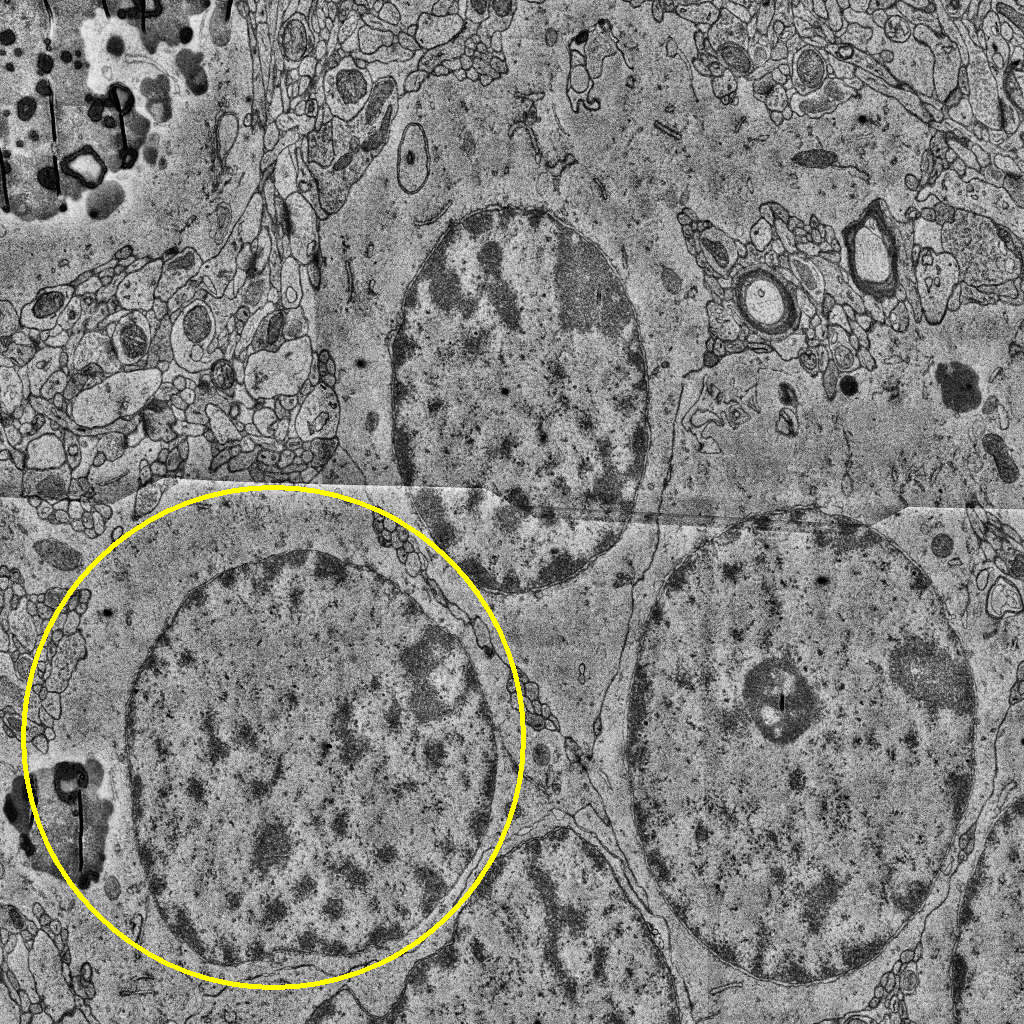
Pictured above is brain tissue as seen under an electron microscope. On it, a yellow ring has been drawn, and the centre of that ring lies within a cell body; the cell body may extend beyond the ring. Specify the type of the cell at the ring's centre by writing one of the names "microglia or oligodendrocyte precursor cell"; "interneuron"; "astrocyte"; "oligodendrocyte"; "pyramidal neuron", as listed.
astrocyte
